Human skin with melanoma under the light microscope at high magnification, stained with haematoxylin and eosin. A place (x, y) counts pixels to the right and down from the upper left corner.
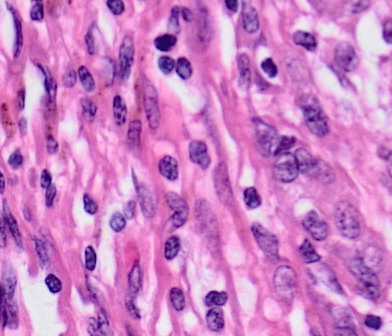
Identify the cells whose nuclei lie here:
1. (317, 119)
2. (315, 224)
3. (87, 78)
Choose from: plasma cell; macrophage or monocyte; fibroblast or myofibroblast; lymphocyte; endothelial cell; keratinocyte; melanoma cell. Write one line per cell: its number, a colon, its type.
1: melanoma cell
2: melanoma cell
3: lymphocyte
